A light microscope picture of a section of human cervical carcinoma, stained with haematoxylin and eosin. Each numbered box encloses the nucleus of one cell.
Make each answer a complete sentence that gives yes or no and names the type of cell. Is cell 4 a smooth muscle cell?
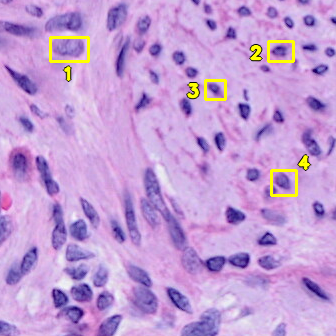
Yes, the nucleus numbered 4 belongs to a smooth muscle cell.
